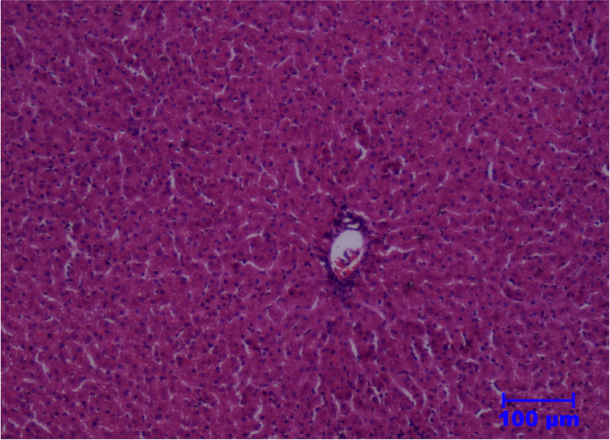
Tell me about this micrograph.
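This is liver, with cords of pink hepatocytes bearing dark purple nuclei radiating out from a small central vessel in the middle of the field. Narrow pale sinusoids run between the cords, and the tissue looks compact and evenly stained.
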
